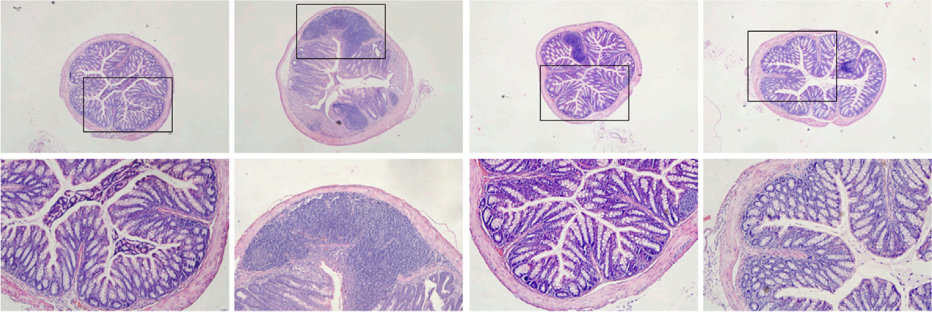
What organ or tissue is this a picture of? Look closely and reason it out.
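Round cross-sections of a hollow organ with a thin outer muscle wall. Inner mucosa folded into branching ridges lined by tubular glands around a central lumen.
Hence: colon tissue.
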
